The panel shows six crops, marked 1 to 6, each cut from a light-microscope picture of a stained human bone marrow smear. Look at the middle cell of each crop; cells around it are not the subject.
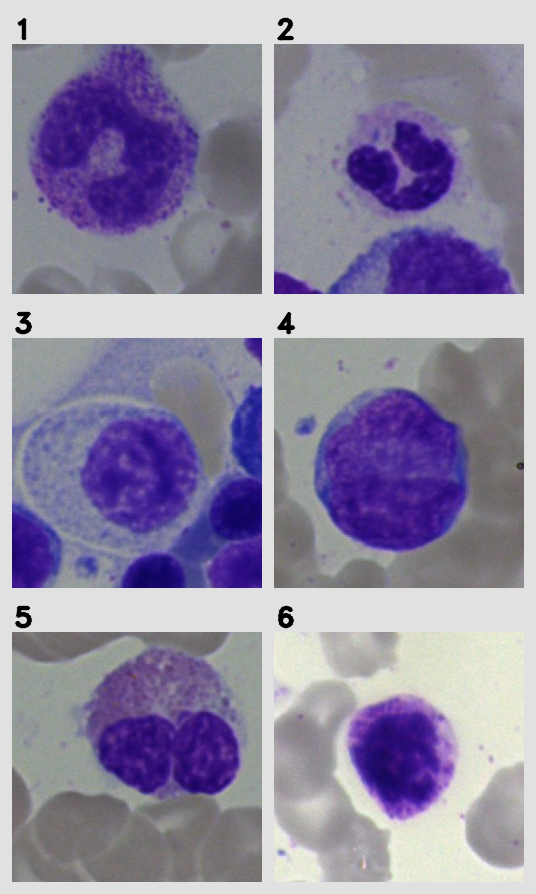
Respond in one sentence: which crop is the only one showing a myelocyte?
The crop carrying a myelocyte at the center is crop 3.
